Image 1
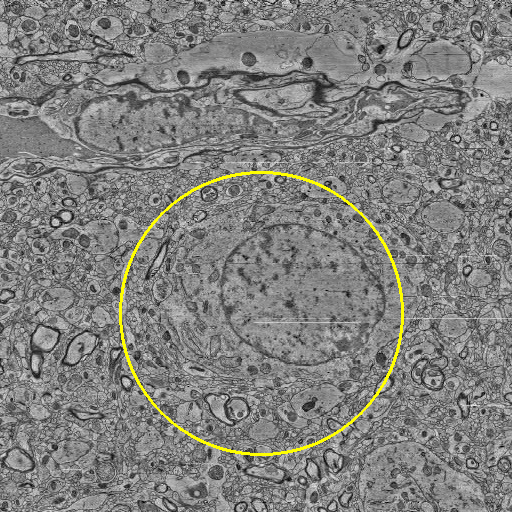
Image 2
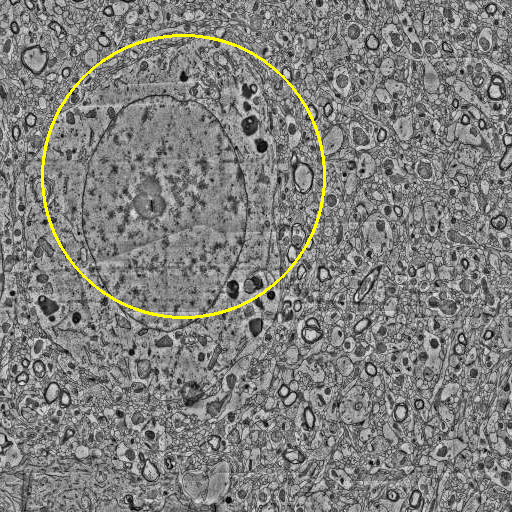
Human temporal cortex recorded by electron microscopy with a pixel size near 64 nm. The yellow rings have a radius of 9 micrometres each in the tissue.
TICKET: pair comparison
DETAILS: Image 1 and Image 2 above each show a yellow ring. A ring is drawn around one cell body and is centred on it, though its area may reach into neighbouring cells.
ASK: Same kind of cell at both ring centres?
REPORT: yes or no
no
